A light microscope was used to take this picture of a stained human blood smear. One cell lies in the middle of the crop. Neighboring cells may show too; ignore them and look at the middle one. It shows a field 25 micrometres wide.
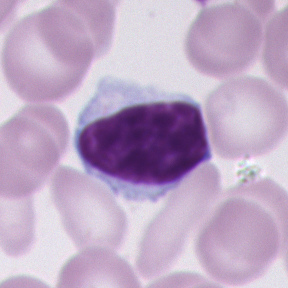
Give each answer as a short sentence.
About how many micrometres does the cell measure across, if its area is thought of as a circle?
The diameter of the cell comes to about 11 micrometres.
